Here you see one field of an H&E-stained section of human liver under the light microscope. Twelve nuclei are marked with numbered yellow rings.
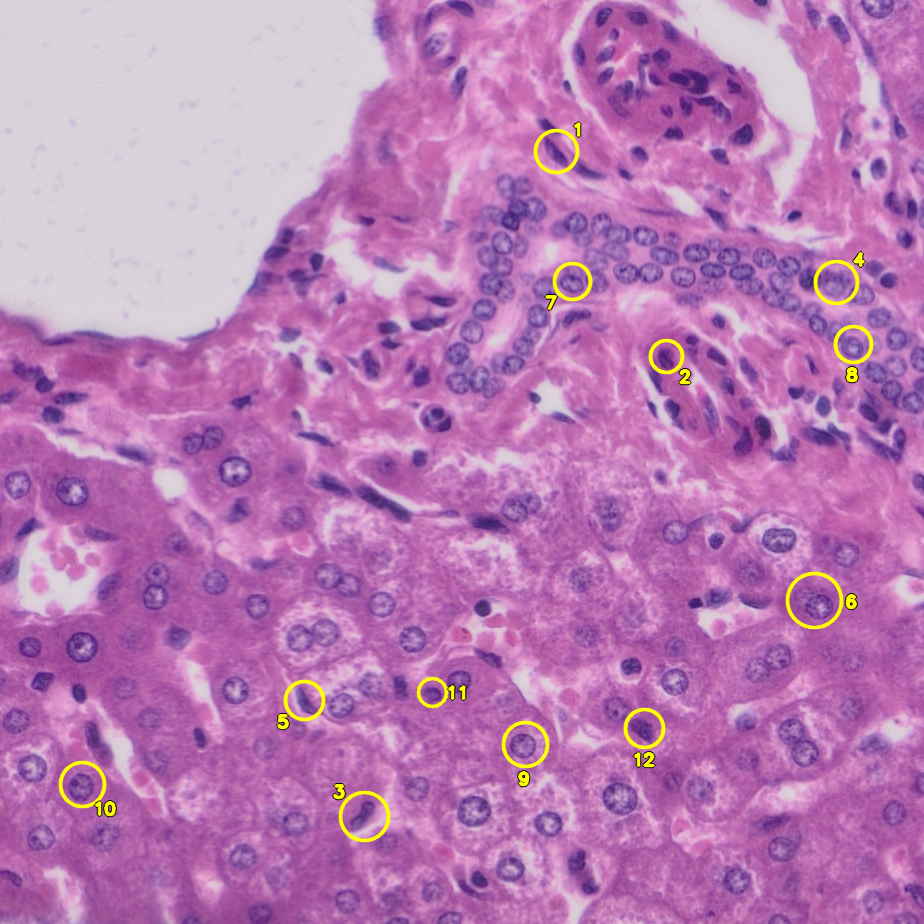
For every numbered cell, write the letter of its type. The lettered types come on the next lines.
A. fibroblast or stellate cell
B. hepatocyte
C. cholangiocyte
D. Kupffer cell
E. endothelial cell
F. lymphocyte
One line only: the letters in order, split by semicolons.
A; A; D; C; E; B; C; C; B; B; A; A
